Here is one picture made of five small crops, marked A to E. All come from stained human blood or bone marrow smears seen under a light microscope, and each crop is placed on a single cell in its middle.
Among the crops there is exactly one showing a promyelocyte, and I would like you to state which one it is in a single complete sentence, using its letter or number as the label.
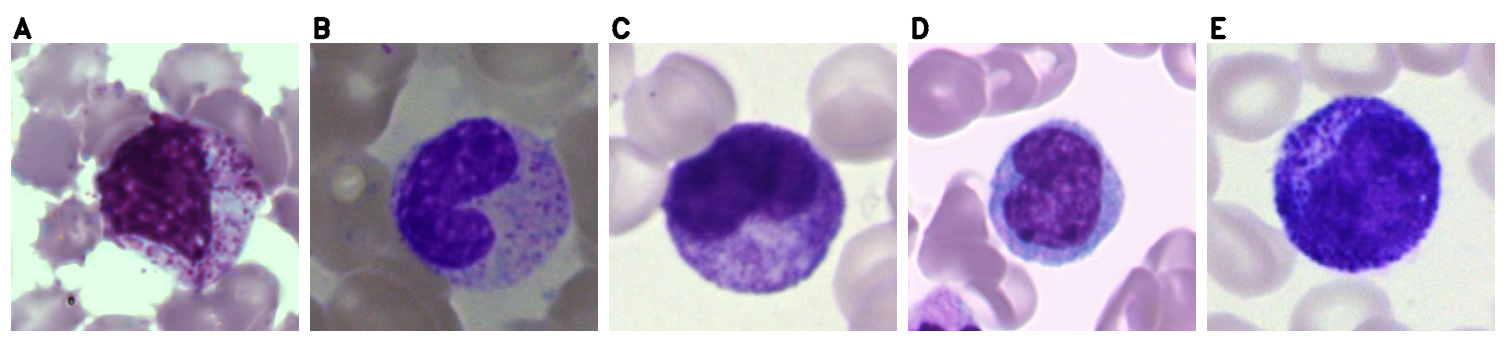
Crop E is the one to choose: it shows a promyelocyte.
